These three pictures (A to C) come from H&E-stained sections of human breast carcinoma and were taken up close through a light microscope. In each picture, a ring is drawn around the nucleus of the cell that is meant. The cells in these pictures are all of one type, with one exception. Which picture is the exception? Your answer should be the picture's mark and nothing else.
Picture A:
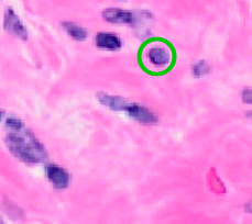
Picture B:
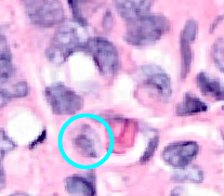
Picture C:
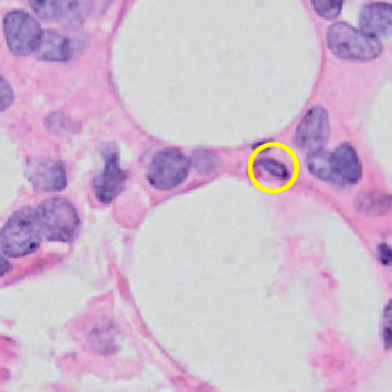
A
